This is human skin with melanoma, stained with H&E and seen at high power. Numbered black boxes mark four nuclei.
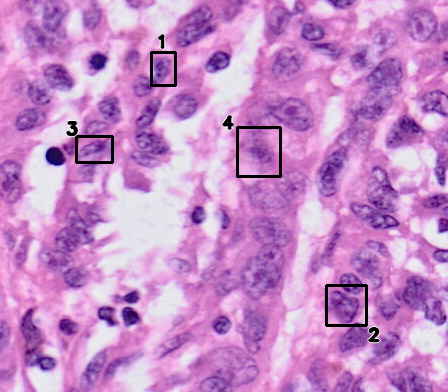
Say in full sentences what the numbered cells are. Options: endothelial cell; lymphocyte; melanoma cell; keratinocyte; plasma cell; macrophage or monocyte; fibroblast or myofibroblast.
Cell 1 is a macrophage or monocyte. Cells 2, 3 and 4 are melanoma cells.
